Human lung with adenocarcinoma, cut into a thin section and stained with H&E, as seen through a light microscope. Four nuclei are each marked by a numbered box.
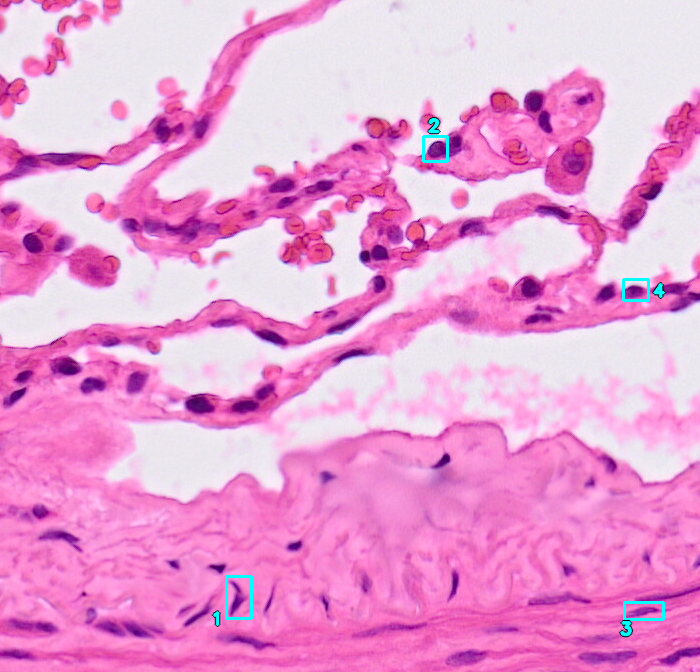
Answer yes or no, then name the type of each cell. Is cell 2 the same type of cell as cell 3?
No, mate, cell 2 is a type I pneumocyte and cell 3 is a smooth muscle cell or pericyte.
